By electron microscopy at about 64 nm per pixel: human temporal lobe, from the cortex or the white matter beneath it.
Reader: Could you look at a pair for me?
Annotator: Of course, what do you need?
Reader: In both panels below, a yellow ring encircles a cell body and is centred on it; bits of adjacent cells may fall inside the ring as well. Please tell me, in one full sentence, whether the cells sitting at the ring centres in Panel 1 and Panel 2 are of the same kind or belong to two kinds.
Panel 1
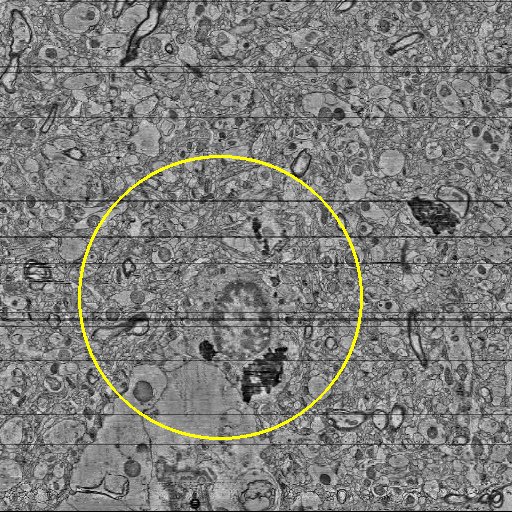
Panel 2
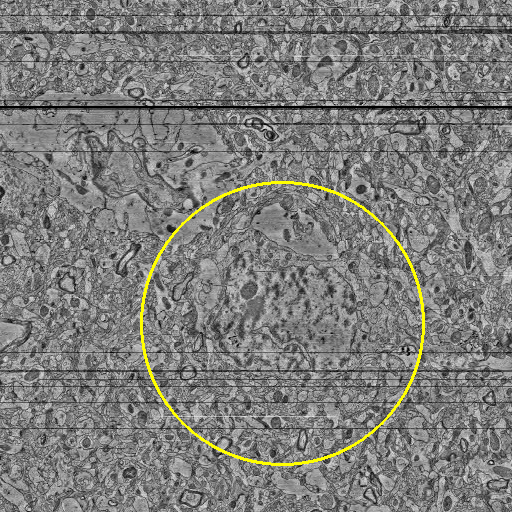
The cell at the ring's centre in Panel 1 and the one in Panel 2 belong to two kinds.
